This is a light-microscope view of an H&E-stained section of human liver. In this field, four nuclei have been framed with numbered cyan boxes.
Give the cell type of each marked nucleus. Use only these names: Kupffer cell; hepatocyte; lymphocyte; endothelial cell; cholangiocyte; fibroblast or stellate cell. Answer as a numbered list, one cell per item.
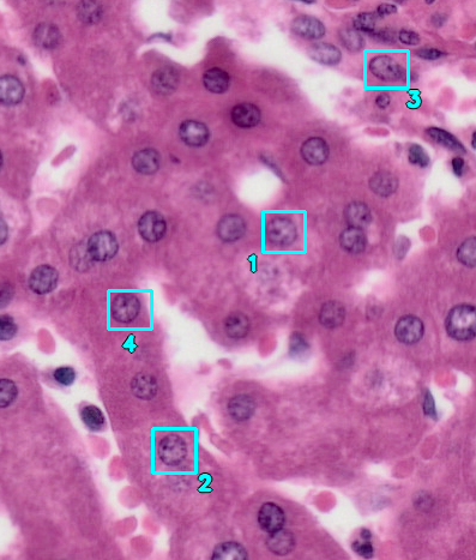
1. hepatocyte
2. hepatocyte
3. cholangiocyte
4. hepatocyte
